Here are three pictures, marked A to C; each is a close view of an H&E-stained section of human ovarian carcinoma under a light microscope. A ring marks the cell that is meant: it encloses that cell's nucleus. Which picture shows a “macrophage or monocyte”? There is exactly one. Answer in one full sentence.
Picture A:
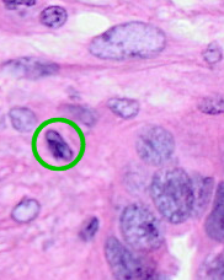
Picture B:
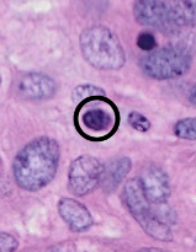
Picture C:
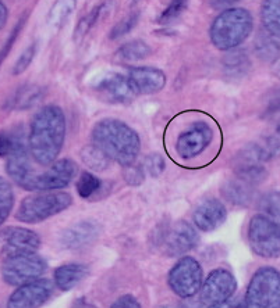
It is picture C that shows the “macrophage or monocyte”.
